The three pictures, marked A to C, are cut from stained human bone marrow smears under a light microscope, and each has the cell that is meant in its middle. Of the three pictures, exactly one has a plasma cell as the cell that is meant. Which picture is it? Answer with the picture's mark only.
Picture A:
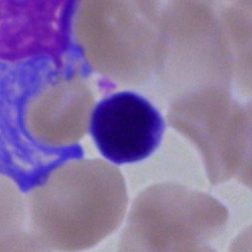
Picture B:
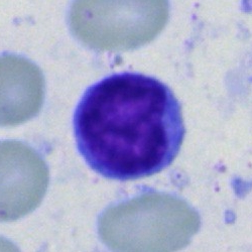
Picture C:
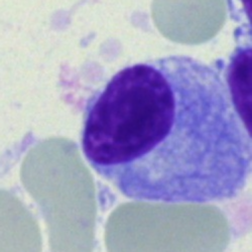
C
